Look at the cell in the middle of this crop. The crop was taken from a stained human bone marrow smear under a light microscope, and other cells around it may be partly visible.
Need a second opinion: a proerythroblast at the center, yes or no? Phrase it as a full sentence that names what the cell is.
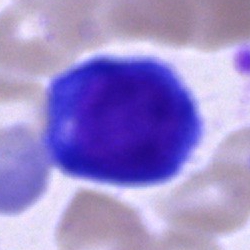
Yes, the cell in the middle is rightly called a proerythroblast.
